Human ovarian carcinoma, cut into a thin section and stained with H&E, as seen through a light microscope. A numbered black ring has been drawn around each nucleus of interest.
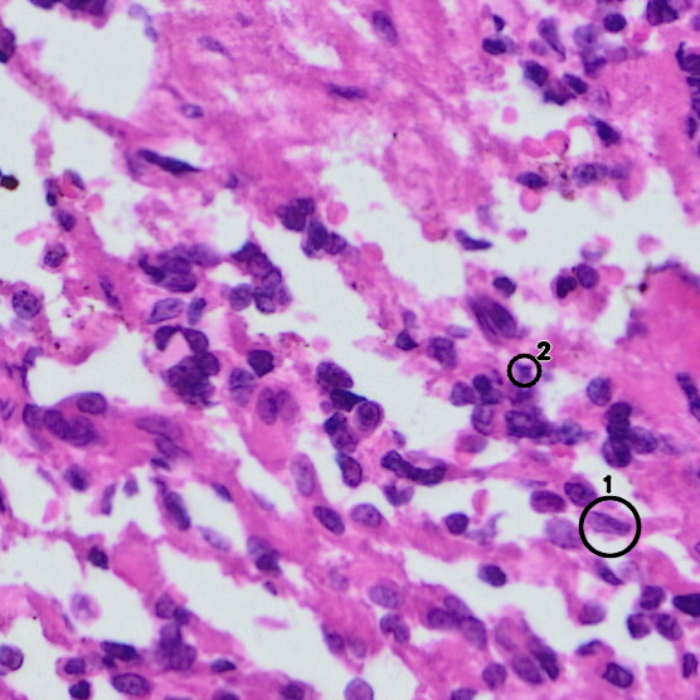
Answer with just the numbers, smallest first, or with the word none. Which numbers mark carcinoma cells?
2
